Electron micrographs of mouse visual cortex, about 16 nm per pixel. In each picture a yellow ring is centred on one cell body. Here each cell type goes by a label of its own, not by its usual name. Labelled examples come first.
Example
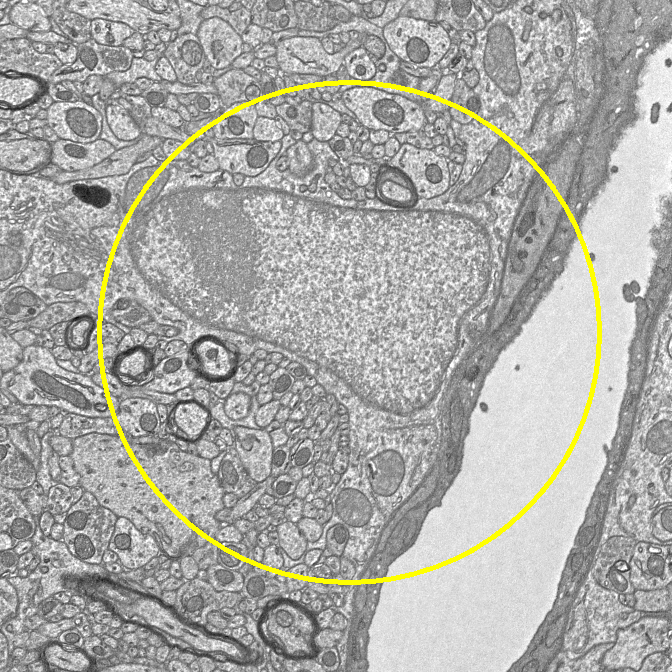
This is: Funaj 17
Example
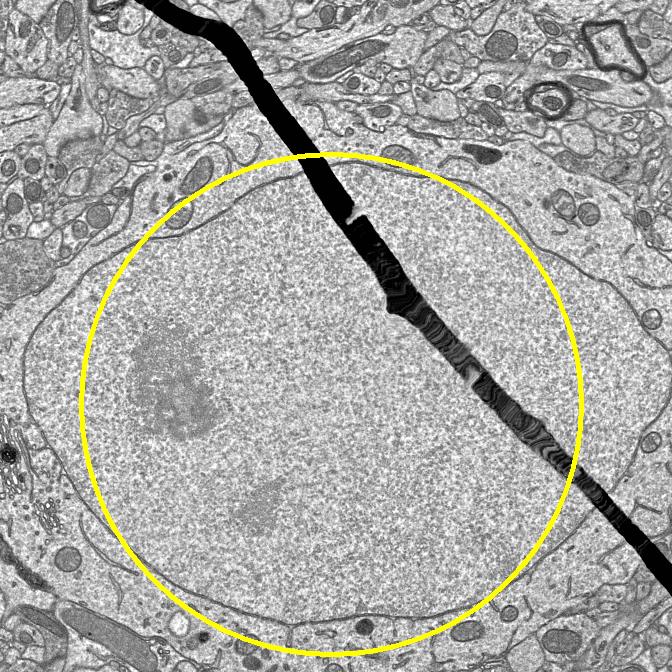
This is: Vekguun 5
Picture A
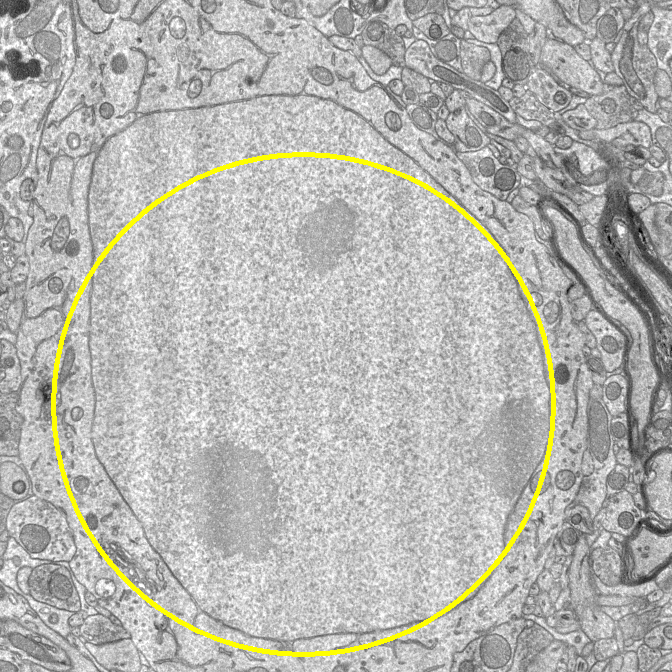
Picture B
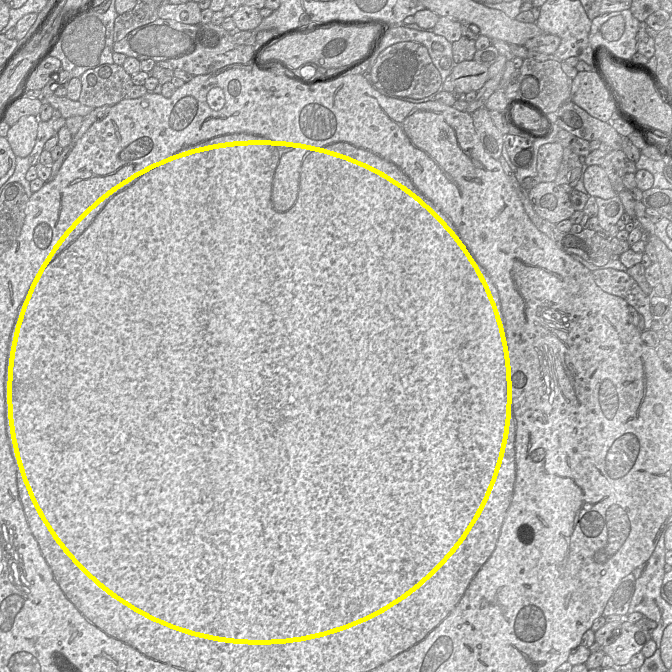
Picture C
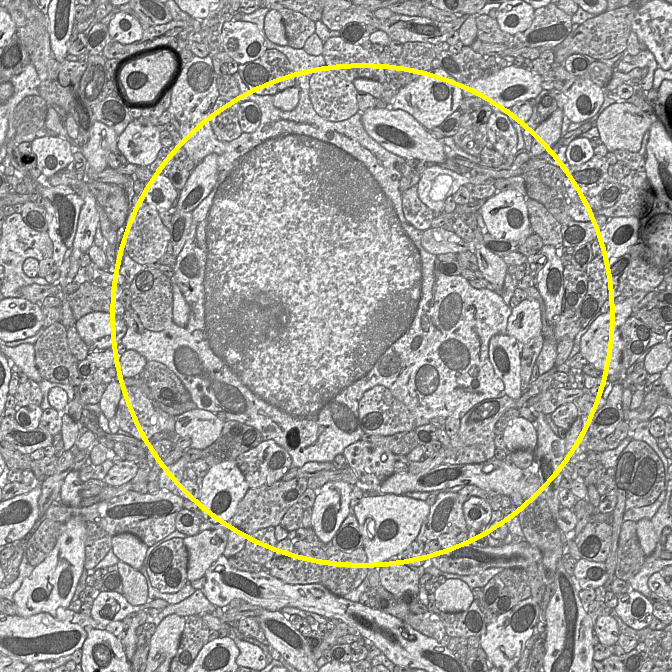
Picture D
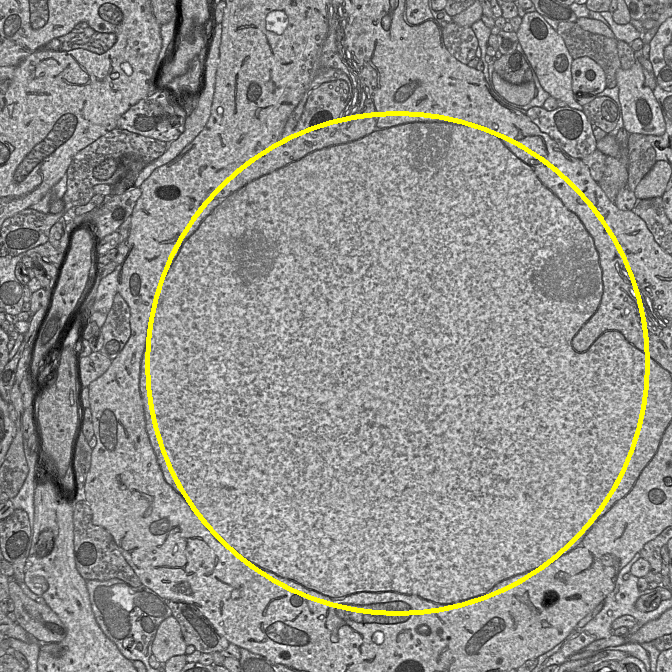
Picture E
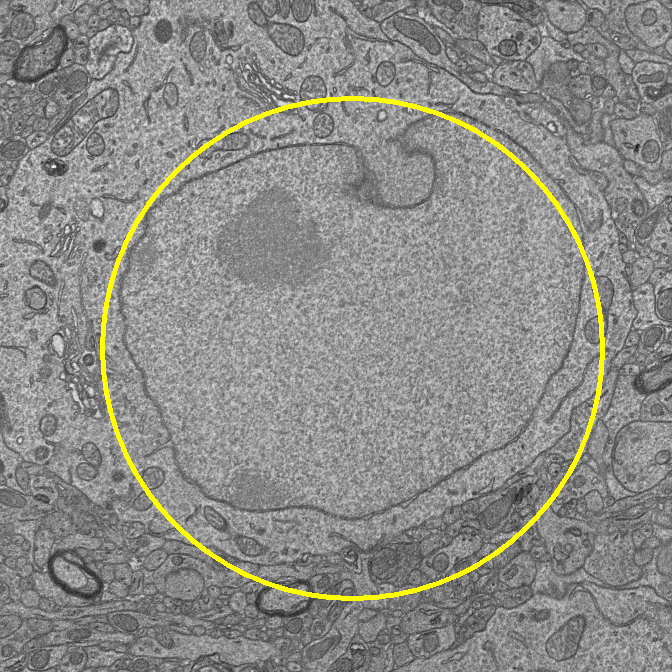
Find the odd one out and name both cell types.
C differs and shows Funaj 17; the others show Vekguun 5.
